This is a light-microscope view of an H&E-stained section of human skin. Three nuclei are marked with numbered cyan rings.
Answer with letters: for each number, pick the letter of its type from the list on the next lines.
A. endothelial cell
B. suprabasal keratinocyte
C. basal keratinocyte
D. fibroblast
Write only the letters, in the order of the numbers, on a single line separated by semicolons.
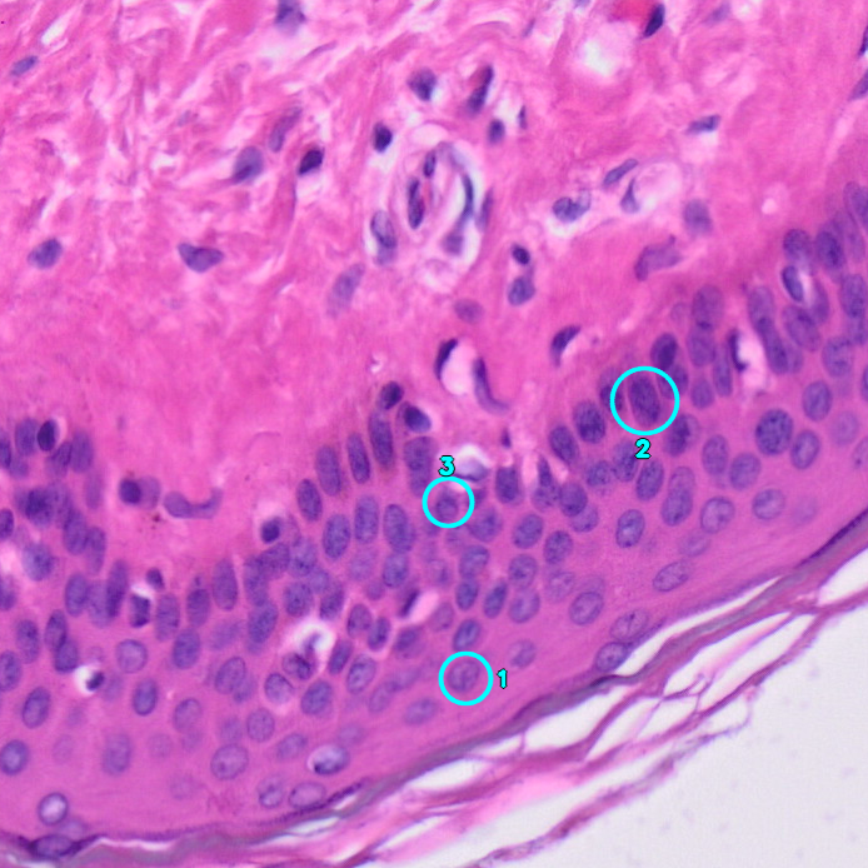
B; C; C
